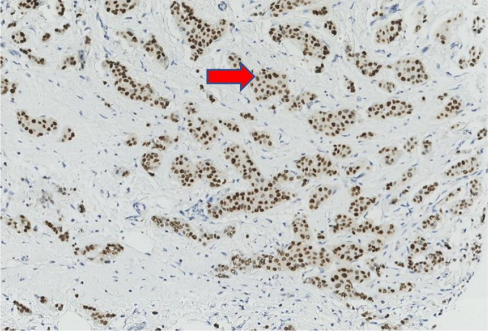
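Here small cords, strands and nests of tumor epithelial cells lie scattered in a pale, loose fibrous stroma. The cells within the cords are crowded, with round to oval nuclei that are nearly all stained dark brown, while their cytoplasm stays pale. The stroma between them holds only sparse spindle-shaped cells with blue nuclei.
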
